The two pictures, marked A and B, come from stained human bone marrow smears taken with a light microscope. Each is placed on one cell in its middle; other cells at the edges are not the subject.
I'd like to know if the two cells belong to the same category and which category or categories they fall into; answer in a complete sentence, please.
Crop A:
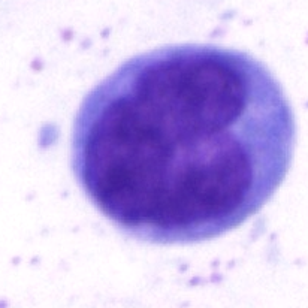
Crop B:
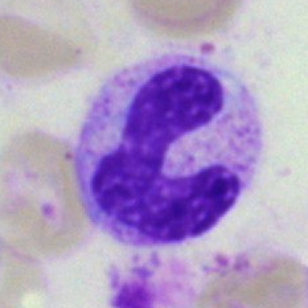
No, crop A shows a monocyte, with a band neutrophil shown in crop B.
